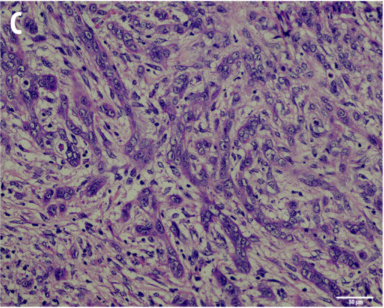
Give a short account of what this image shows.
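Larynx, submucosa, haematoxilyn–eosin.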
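Here branching cords of squamous tumor cells run through a pale fibrous stroma. The cells are polygonal to elongated, with pink cytoplasm and large nuclei that carry conspicuous nucleoli. The cords are of uneven width and interconnect, with smaller dark stromal nuclei lying between them.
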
